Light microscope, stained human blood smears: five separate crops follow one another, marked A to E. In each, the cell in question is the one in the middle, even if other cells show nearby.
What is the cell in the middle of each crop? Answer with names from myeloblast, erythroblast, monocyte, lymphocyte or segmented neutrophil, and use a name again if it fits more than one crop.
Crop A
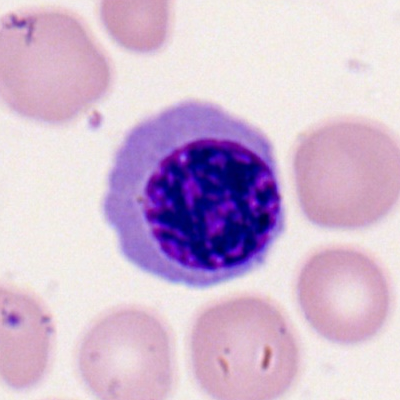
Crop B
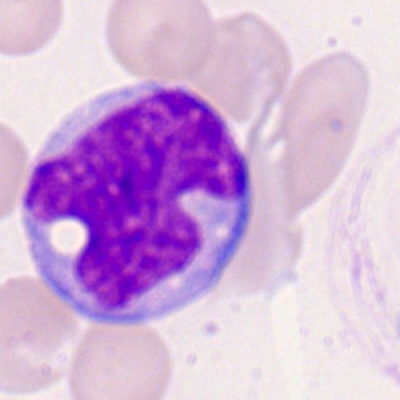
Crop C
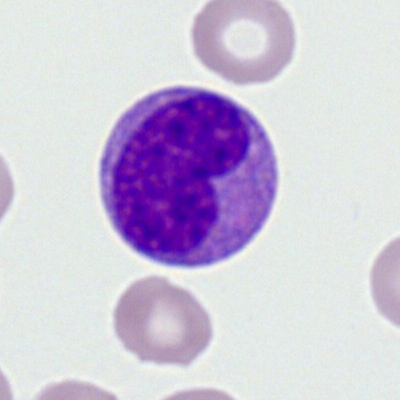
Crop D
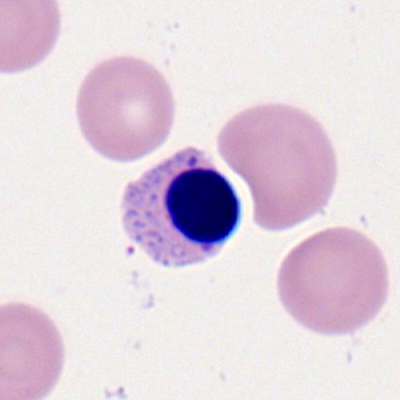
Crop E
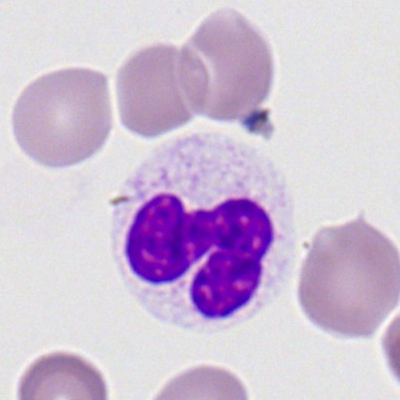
A: erythroblast
B: monocyte
C: monocyte
D: erythroblast
E: segmented neutrophil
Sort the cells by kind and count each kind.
erythroblast: 2
monocyte: 2
segmented neutrophil: 1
